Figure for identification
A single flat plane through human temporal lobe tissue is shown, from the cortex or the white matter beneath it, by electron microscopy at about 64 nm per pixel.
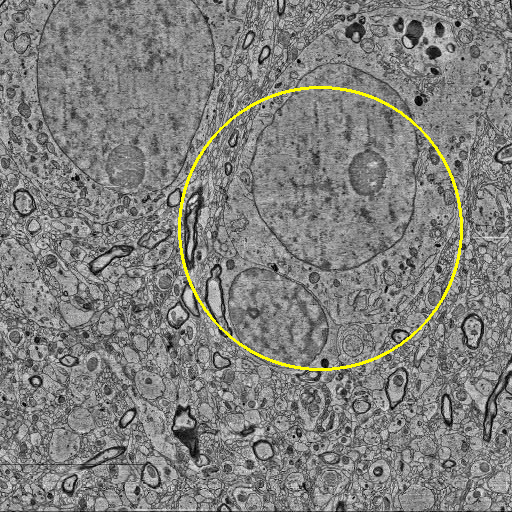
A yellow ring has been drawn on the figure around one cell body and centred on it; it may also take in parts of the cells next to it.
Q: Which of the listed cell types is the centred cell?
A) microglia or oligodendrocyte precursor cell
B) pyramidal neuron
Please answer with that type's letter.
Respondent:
B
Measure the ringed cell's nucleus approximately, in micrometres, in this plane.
In this plane, about 14 micrometres in length and 11 in width.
